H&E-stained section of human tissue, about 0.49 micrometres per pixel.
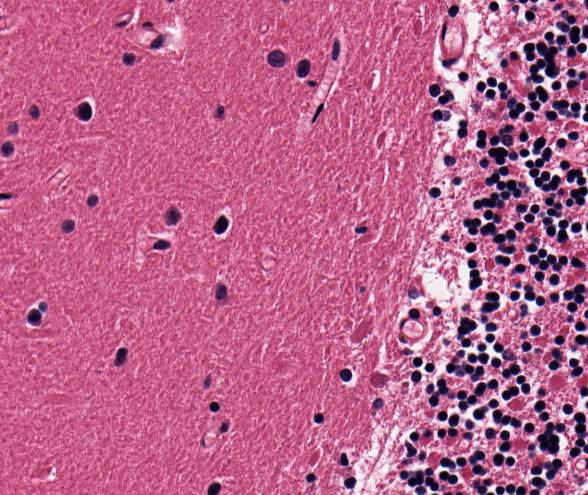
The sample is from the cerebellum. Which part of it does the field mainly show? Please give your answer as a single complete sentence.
In this tissue section, the part on display is molecular layer.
